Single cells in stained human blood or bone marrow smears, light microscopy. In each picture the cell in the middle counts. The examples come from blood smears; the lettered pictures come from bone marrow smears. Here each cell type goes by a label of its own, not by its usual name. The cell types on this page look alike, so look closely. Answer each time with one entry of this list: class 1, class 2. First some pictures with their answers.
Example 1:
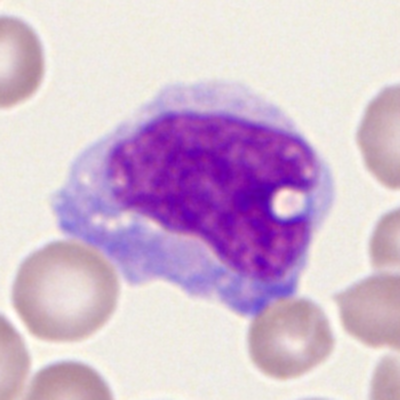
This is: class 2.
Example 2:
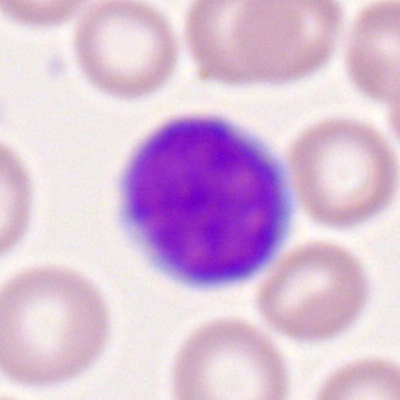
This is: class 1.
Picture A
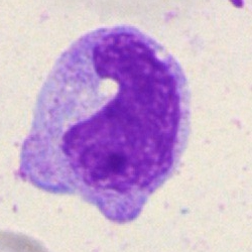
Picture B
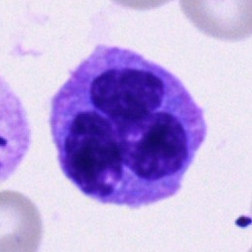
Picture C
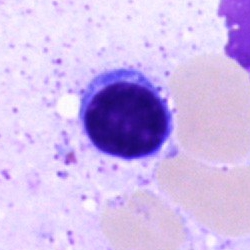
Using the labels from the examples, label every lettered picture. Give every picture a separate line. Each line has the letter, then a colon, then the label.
A: class 2.
B: class 2.
C: class 1.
